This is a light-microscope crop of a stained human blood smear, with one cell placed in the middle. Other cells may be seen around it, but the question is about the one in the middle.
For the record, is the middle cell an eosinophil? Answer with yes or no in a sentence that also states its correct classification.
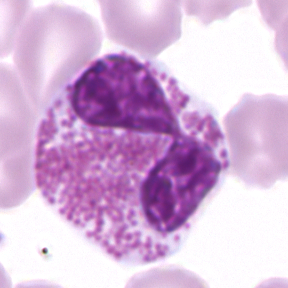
Yes, the cell that the crop is centered on is an eosinophil.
